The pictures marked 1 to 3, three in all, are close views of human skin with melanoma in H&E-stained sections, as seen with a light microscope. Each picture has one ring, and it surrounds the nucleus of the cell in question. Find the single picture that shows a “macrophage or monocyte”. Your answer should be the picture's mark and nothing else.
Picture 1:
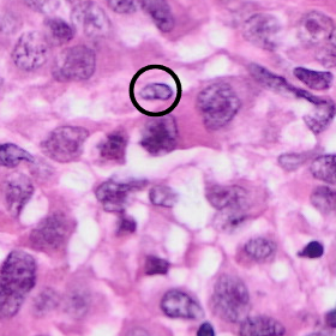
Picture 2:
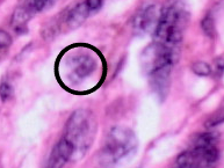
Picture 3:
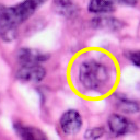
1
